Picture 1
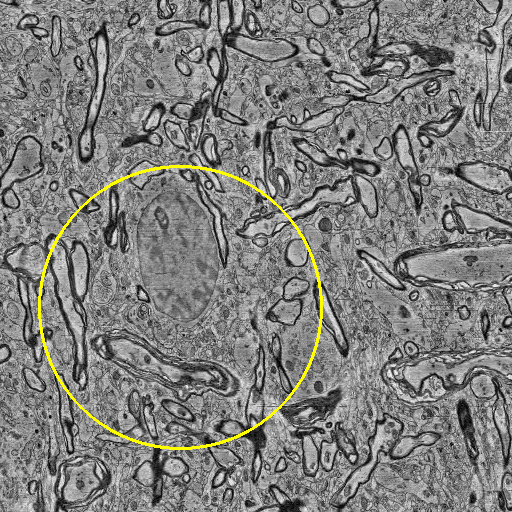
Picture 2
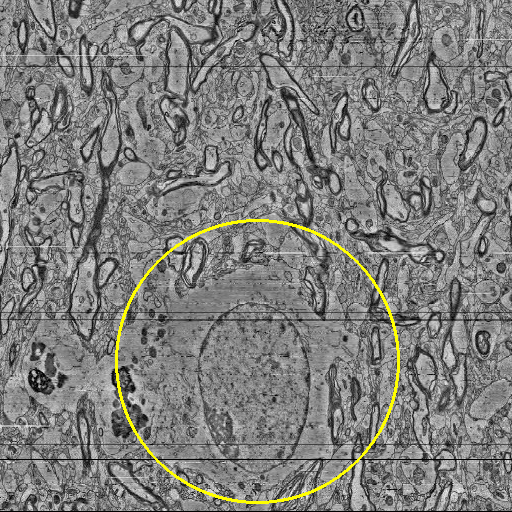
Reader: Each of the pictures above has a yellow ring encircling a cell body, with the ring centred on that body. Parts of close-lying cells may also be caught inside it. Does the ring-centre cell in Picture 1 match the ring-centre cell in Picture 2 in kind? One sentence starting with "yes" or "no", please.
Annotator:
No, Picture 1 and Picture 2 show ring-centre cells of two kinds.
